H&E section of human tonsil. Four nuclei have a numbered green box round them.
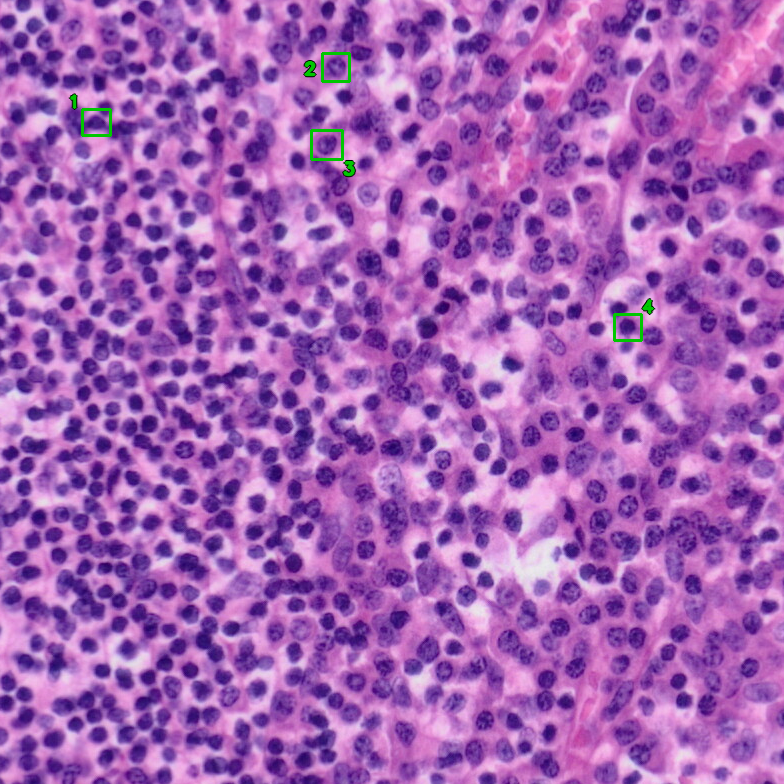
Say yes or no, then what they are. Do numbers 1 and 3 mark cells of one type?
No, that's off: cell 1 is a small lymphocyte and cell 3 is a plasma cell.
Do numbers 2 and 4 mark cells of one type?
Yes, cells 2 and 4 both belong among the plasma cells.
